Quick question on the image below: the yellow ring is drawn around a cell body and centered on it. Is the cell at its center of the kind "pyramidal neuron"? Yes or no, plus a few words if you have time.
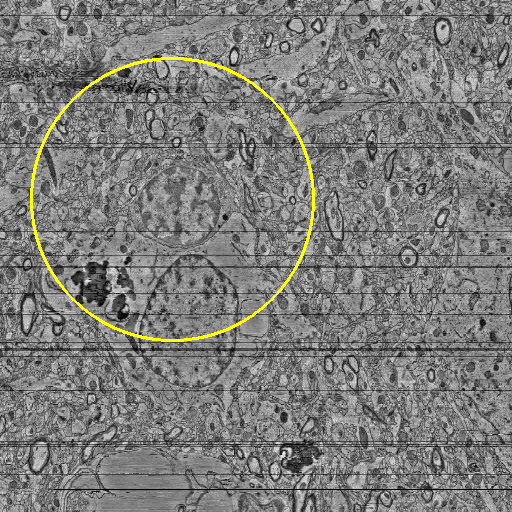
No, the cell at the center is of another kind.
